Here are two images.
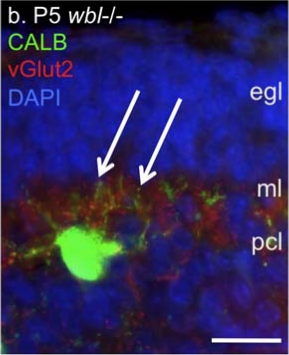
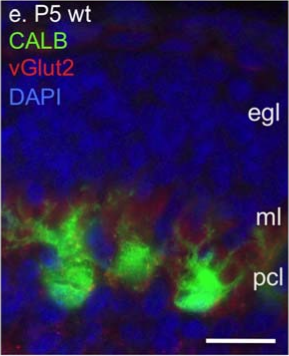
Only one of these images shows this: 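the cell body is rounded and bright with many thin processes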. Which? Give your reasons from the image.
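The first image. Second image: several pear-shaped green cells in a row with short, thick processes. First image: one rounded, intensely green cell body with many fine processes spreading upward.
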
